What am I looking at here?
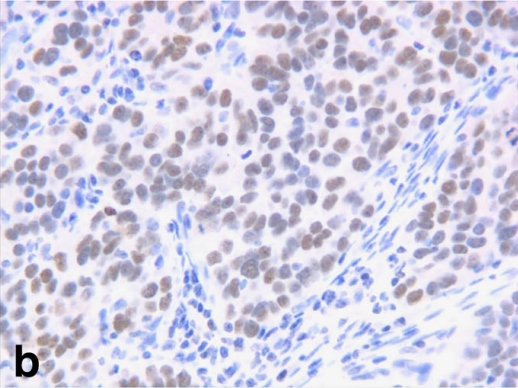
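Tumour cells lie in dense sheets and nests separated by narrow bands of stroma. The tumour cells have crowded oval to round nuclei that are stained brown, with an intensity that varies from cell to cell and is mostly moderate. Their cytoplasm is scant and pale. Between the nests run spindle-shaped stromal cells whose elongated nuclei are blue and unstained.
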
